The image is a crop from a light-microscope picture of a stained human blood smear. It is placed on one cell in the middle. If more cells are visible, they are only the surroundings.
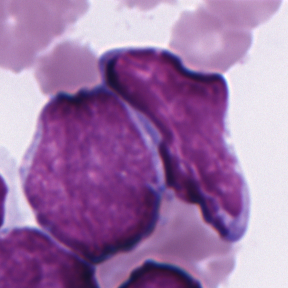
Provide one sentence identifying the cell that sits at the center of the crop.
The middle of this crop holds a myeloblast.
